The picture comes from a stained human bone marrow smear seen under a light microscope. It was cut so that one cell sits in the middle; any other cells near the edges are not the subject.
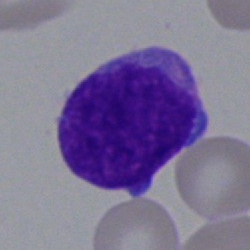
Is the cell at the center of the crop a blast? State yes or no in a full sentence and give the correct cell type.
Yes, what sits in the middle of the crop is a blast.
